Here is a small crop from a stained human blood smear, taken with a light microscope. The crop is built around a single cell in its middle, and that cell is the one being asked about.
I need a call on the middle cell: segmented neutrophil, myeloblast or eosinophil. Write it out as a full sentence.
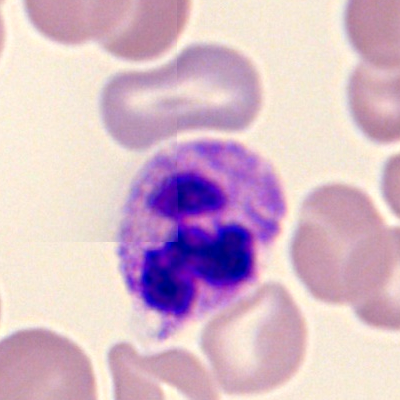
In short, the cell at the center is a segmented neutrophil.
